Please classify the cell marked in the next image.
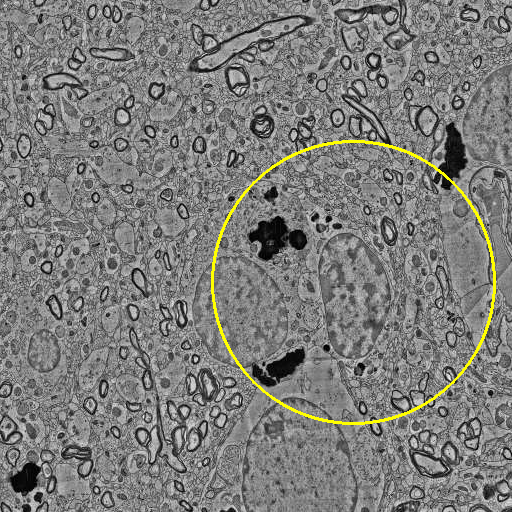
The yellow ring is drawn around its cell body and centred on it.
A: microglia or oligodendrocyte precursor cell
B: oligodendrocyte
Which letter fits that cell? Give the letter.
A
